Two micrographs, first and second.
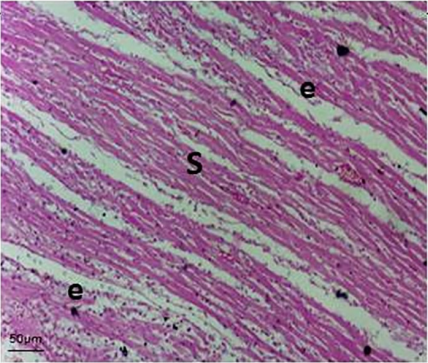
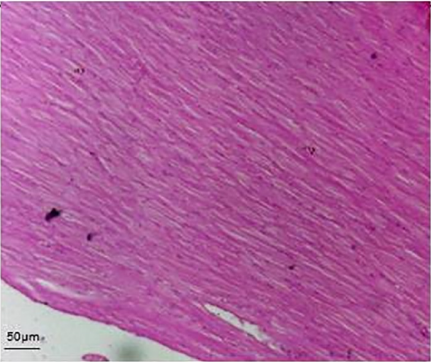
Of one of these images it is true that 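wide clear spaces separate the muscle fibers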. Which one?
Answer: The first image.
